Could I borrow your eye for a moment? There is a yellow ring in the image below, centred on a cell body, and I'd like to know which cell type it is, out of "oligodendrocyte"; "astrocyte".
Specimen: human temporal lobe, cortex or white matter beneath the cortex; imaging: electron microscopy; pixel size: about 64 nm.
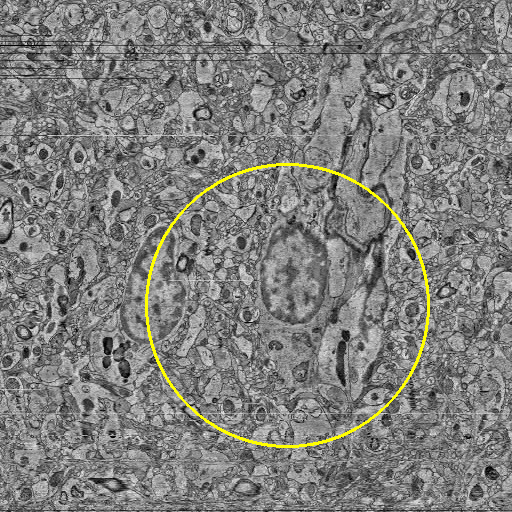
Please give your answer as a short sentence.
The cell body at the centre is that of an oligodendrocyte.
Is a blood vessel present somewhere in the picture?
Yes.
